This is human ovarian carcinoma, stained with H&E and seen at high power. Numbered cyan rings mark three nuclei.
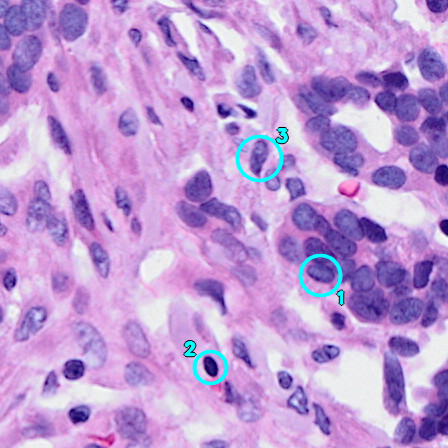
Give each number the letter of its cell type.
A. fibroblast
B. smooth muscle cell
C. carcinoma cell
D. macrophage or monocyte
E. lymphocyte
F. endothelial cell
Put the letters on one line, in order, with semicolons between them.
C; E; A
